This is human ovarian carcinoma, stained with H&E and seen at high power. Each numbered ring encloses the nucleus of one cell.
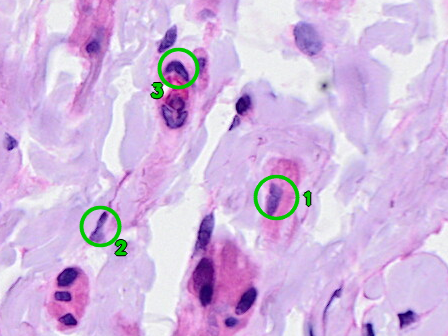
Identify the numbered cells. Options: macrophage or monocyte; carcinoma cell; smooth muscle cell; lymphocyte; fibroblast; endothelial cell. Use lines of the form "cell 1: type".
cell 1: smooth muscle cell
cell 2: fibroblast
cell 3: endothelial cell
